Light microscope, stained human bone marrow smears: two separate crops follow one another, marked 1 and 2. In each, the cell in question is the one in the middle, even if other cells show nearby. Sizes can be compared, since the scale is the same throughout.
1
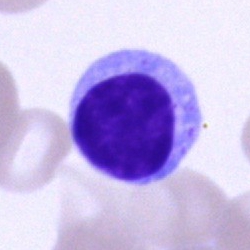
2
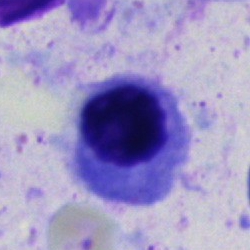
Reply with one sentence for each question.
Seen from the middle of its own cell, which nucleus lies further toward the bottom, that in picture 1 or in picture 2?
It is the nucleus in picture 1 that lies further toward the bottom of its cell.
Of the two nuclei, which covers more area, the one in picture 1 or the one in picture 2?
It is the nucleus in picture 1, about 1.5 times as large in area as the one in picture 2.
